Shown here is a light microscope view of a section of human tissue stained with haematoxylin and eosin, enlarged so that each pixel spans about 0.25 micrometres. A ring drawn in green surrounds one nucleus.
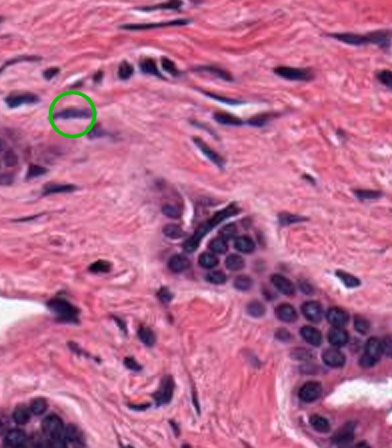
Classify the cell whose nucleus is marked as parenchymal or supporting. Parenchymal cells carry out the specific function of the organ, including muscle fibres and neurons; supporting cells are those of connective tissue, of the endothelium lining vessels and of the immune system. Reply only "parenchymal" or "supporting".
supporting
